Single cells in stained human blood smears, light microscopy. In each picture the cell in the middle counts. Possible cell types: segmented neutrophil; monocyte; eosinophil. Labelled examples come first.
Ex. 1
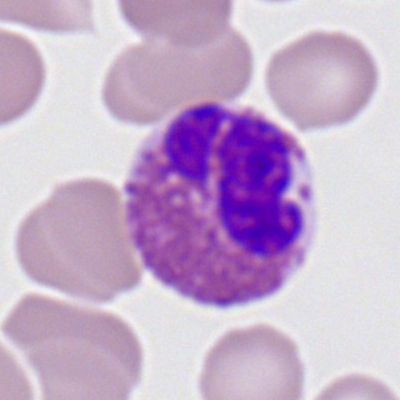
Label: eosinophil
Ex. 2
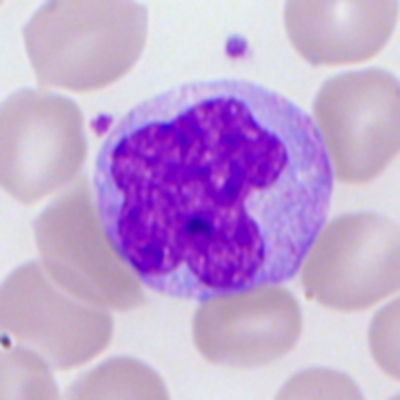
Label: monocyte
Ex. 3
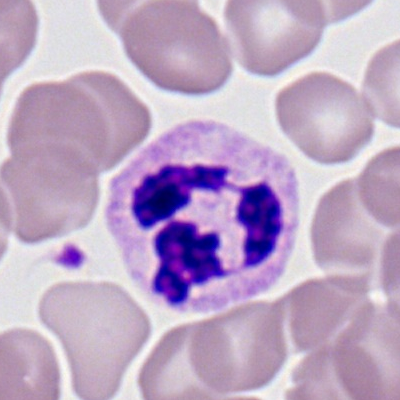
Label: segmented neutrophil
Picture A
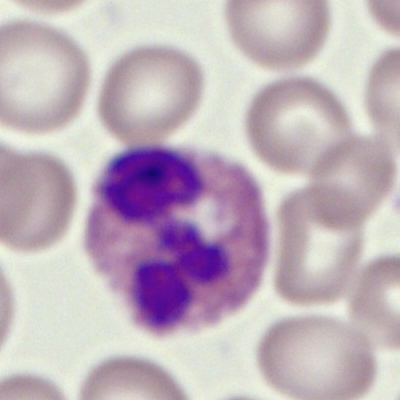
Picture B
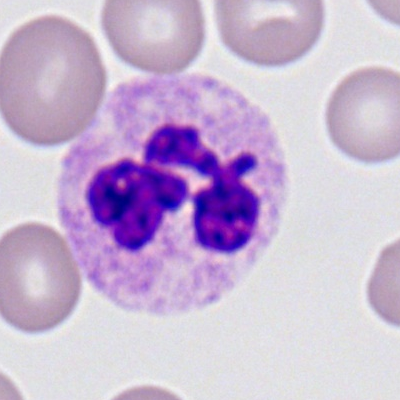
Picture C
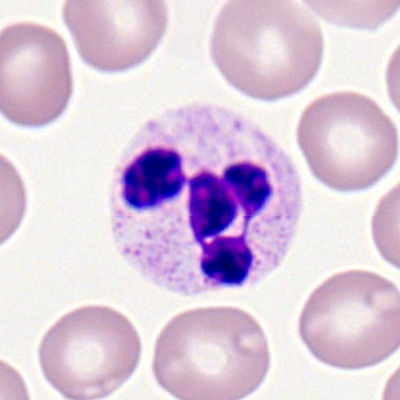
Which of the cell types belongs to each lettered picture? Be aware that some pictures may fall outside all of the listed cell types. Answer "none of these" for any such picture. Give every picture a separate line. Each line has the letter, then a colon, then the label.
A: eosinophil
B: segmented neutrophil
C: segmented neutrophil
